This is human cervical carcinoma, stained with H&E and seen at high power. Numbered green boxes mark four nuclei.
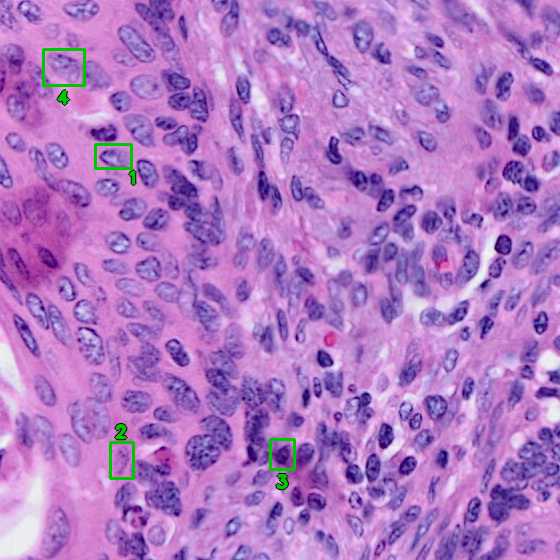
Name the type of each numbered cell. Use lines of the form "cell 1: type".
cell 1: squamous carcinoma cell
cell 2: squamous carcinoma cell
cell 3: lymphocyte
cell 4: squamous carcinoma cell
